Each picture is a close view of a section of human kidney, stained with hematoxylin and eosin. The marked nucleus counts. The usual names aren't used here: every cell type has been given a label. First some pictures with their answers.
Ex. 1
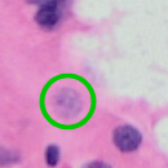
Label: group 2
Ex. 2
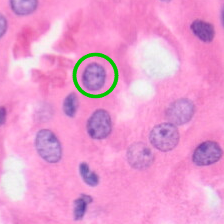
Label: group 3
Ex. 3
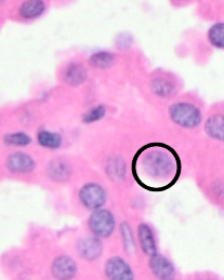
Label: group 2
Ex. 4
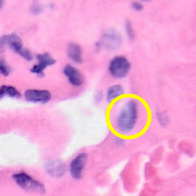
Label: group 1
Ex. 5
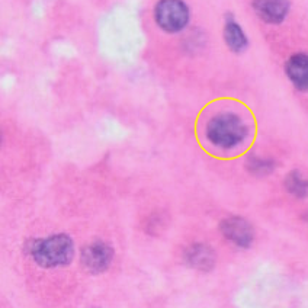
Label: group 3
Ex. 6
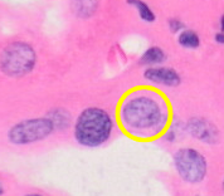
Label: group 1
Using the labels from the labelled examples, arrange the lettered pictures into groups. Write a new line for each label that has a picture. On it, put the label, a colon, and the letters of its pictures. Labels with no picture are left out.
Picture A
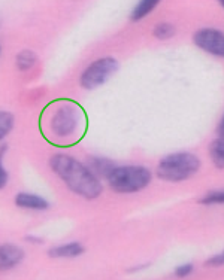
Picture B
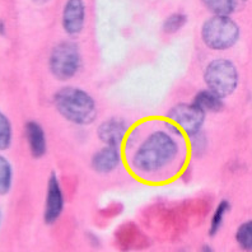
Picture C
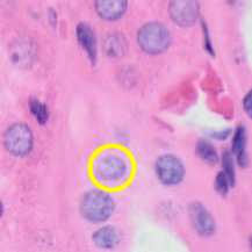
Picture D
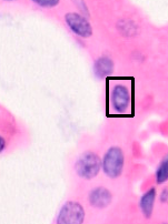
group 1: A, B, C, D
